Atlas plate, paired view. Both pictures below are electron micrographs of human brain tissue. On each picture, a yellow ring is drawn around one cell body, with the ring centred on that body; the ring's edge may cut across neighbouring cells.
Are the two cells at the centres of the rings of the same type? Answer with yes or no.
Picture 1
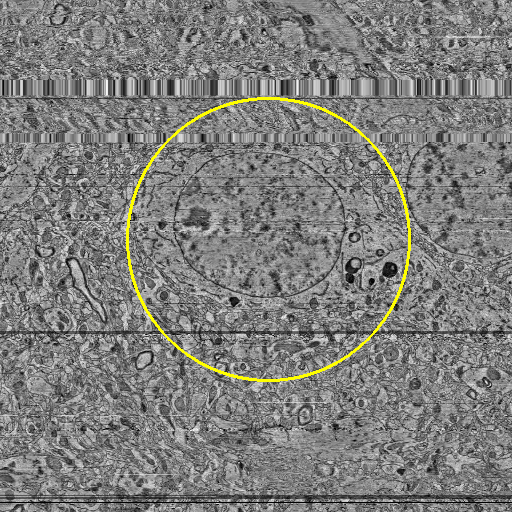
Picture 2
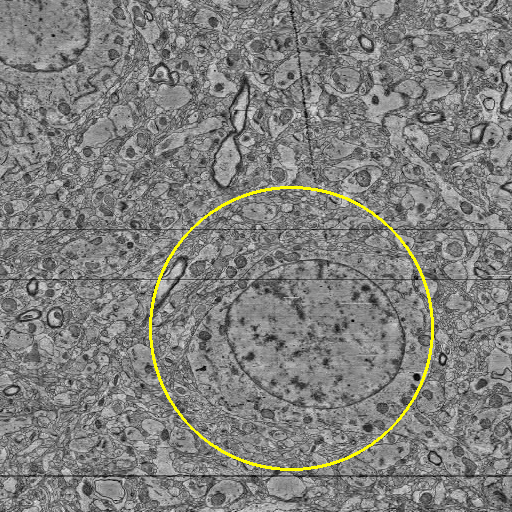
yes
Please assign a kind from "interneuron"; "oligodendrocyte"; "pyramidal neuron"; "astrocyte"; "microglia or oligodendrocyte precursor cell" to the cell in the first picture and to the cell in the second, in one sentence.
Each of the two pictures has a pyramidal neuron at the ring centre.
